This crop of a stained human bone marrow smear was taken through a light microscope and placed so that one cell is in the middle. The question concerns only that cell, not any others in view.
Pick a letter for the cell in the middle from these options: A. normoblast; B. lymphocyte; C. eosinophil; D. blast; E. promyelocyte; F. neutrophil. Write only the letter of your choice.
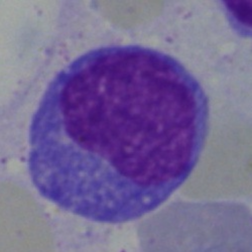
E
